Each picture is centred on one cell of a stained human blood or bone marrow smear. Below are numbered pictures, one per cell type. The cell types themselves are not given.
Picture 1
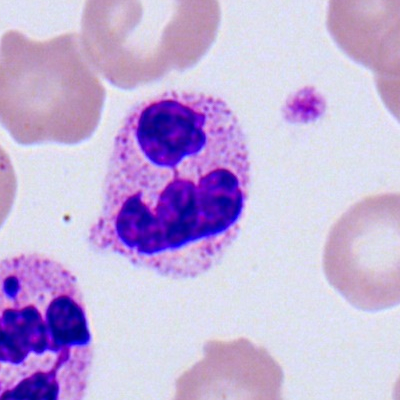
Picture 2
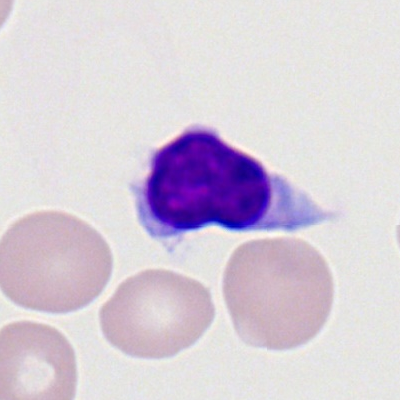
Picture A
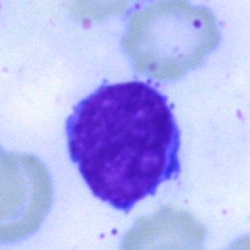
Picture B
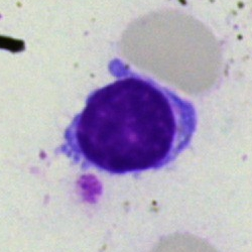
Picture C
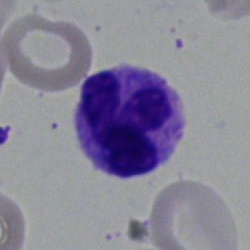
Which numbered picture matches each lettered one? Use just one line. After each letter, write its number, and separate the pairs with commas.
A 2, B 2, C 1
